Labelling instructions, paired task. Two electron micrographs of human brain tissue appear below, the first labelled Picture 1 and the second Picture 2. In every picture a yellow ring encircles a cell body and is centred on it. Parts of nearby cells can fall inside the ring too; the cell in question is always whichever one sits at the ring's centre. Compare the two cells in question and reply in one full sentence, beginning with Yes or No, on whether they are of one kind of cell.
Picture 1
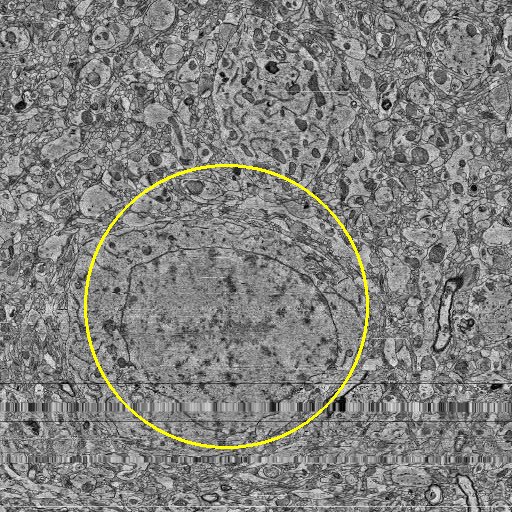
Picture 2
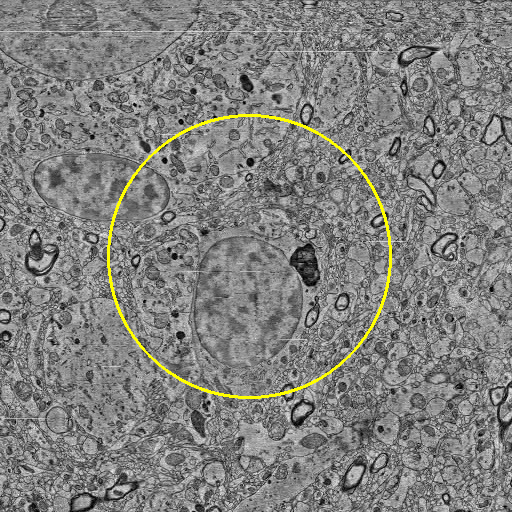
No, the two cells at the ring centres in Picture 1 and Picture 2 are of two kinds.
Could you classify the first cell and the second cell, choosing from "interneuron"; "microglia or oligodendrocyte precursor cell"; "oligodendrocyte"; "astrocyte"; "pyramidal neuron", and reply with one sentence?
The second cell is an oligodendrocyte, while the first is a pyramidal neuron.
